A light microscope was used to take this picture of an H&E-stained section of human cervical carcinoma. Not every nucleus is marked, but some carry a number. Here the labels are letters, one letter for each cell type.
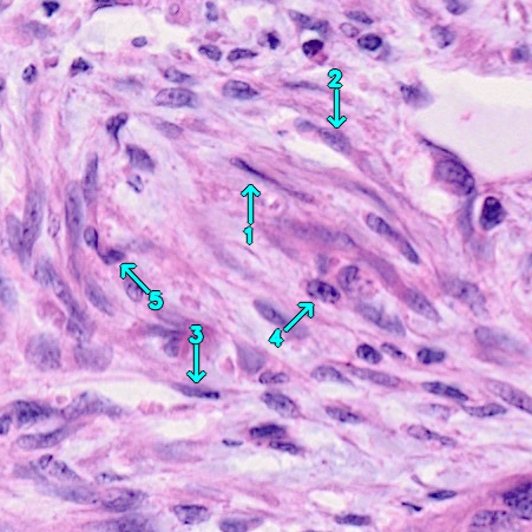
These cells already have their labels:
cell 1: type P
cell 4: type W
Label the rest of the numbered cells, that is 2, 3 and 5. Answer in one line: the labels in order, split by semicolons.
type P; type P; type W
